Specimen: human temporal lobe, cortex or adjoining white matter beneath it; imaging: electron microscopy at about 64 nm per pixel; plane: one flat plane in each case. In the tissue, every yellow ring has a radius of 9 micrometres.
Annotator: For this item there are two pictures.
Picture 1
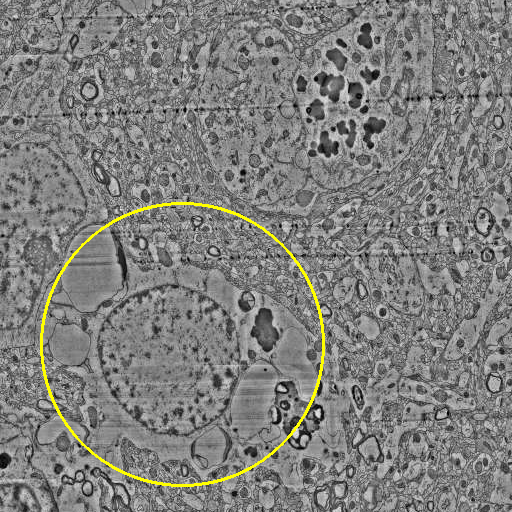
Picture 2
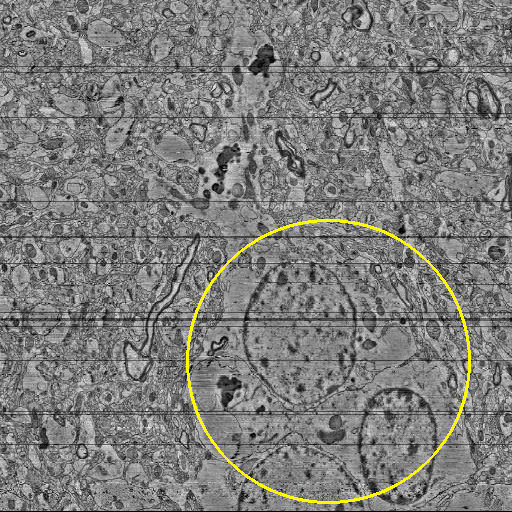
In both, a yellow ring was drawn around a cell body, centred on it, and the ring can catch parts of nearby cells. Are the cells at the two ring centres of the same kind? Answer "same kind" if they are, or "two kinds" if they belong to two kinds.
same kind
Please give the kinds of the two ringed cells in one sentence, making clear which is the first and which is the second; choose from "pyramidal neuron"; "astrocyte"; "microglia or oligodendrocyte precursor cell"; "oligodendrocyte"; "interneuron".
The cell in the first picture is an astrocyte, and so is the one in the second.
